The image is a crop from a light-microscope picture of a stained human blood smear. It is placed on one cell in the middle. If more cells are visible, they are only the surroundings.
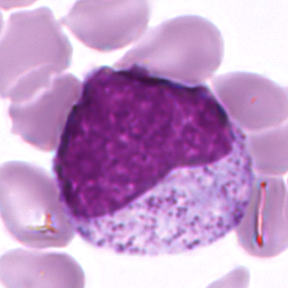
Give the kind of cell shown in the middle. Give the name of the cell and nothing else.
myelocyte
